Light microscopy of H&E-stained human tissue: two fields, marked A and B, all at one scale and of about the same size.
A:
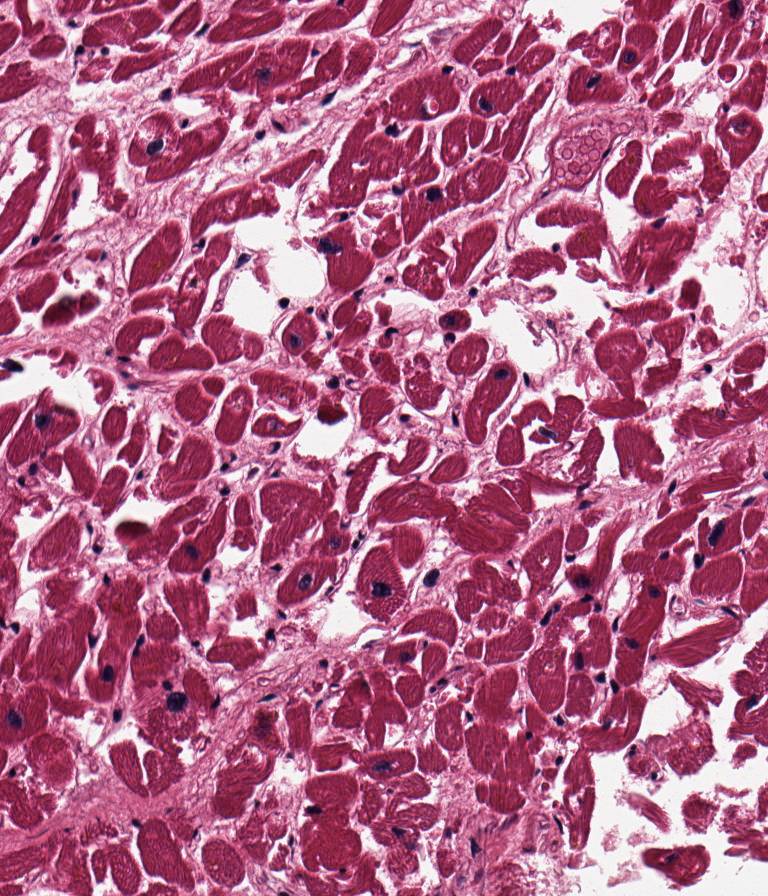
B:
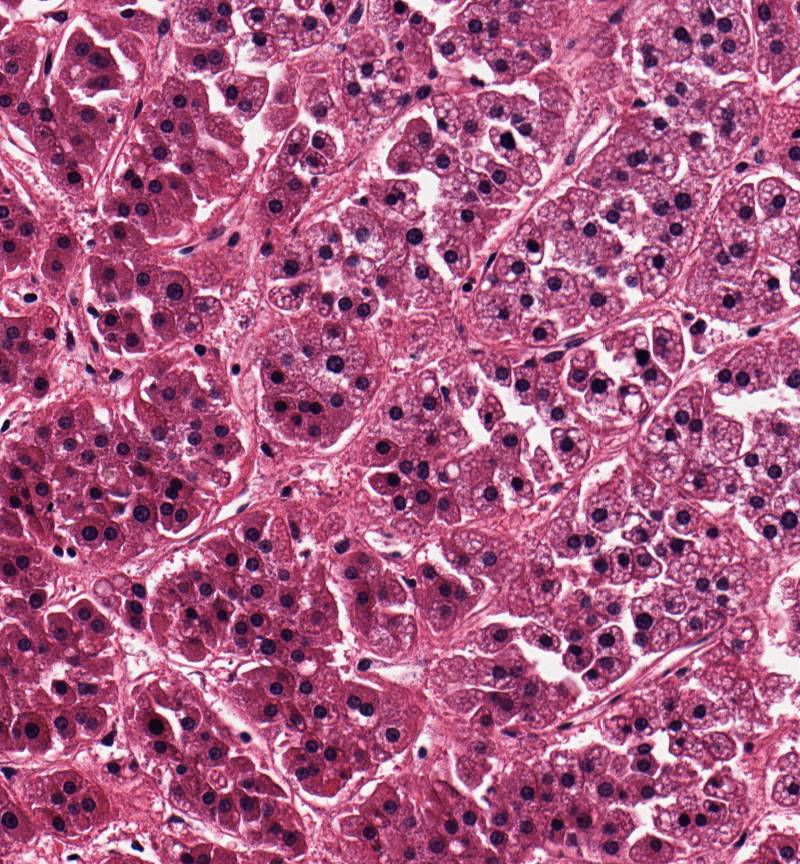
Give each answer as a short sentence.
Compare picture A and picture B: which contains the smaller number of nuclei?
Picture A holds fewer nuclei than picture B.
